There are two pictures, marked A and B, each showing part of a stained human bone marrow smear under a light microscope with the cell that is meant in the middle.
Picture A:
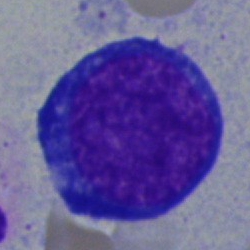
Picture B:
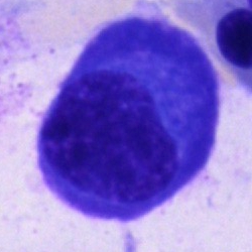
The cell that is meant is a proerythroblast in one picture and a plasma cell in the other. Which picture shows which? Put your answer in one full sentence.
It is picture A that shows a proerythroblast, and picture B that shows a plasma cell.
